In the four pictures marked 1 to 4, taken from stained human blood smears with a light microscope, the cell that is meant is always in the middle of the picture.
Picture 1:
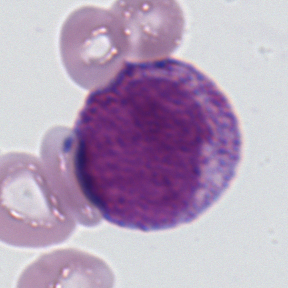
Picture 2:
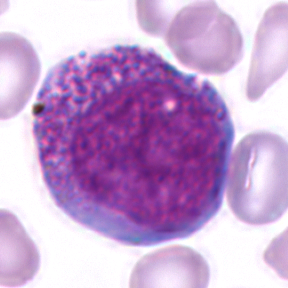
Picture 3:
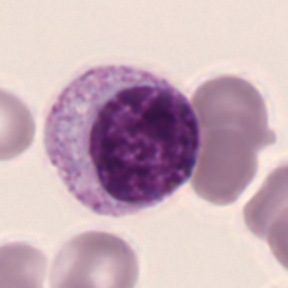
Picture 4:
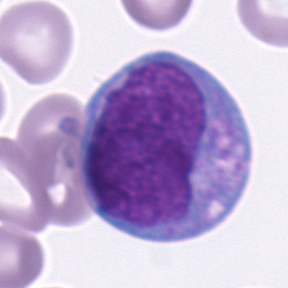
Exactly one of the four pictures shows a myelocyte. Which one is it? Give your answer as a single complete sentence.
It is picture 3 that shows the myelocyte.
